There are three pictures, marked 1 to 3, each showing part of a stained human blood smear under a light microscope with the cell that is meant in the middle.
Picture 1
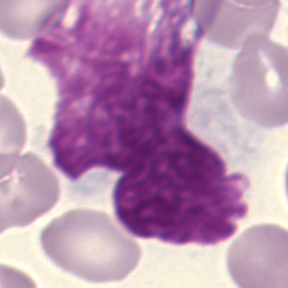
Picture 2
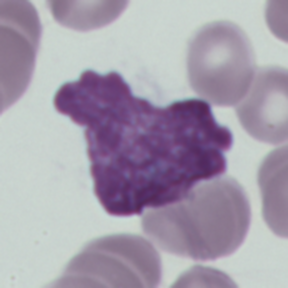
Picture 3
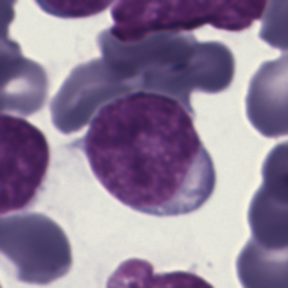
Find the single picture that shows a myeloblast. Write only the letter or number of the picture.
3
